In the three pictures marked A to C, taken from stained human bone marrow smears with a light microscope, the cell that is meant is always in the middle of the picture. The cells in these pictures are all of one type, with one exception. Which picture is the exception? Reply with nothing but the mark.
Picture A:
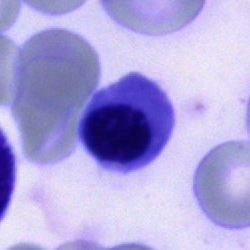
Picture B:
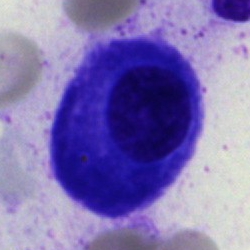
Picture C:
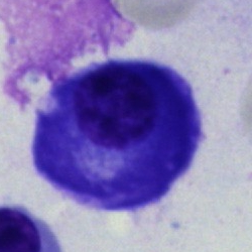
A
